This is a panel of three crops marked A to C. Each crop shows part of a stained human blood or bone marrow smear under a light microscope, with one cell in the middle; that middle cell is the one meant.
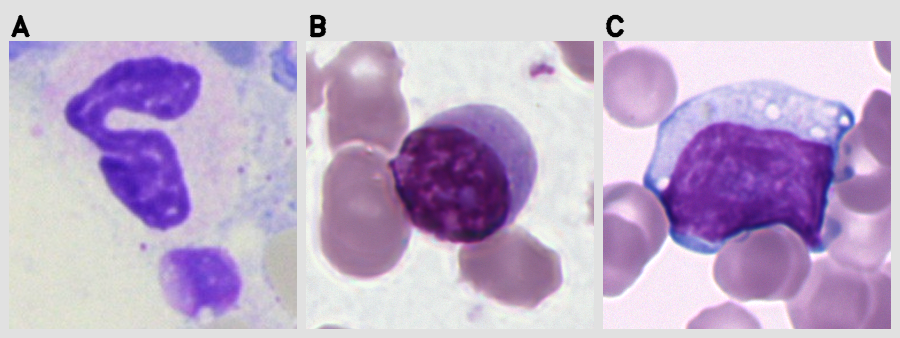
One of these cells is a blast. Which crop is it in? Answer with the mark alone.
C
